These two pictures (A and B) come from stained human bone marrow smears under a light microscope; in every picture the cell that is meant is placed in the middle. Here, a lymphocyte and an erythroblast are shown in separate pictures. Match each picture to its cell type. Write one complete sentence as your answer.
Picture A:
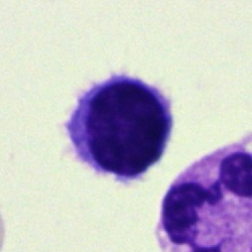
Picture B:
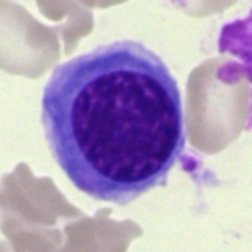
Picture A is of a lymphocyte, and picture B is of an erythroblast.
